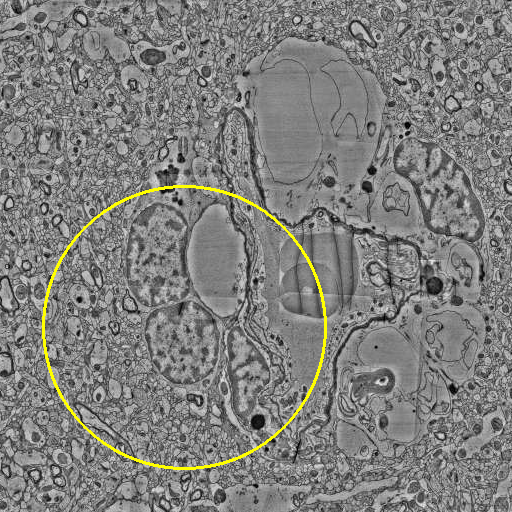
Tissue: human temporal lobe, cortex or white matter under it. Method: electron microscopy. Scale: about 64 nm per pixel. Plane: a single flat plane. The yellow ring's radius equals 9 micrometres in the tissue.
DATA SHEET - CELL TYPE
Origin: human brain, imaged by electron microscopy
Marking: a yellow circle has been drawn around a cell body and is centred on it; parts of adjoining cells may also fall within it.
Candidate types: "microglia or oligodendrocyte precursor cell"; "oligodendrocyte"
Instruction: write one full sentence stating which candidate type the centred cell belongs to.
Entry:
The cell body at the centre of the yellow ring in this micrograph belongs to an oligodendrocyte.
